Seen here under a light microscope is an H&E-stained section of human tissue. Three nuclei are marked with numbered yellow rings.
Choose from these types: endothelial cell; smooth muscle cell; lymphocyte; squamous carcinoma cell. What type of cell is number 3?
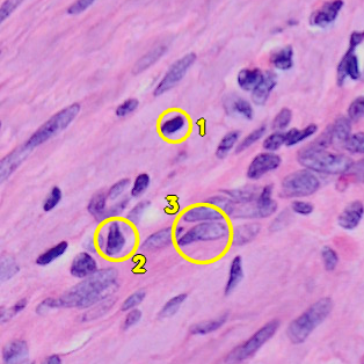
endothelial cell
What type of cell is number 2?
lymphocyte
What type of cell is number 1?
lymphocyte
